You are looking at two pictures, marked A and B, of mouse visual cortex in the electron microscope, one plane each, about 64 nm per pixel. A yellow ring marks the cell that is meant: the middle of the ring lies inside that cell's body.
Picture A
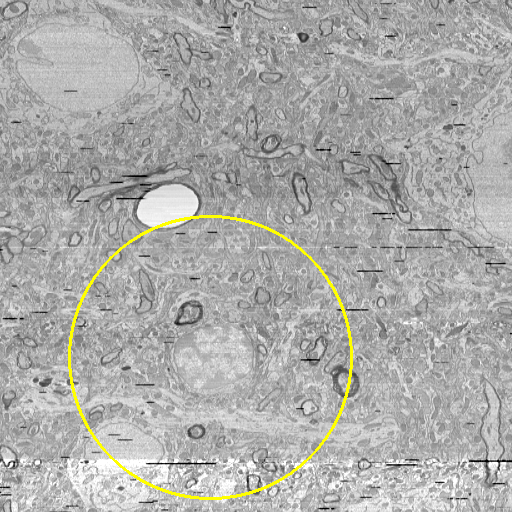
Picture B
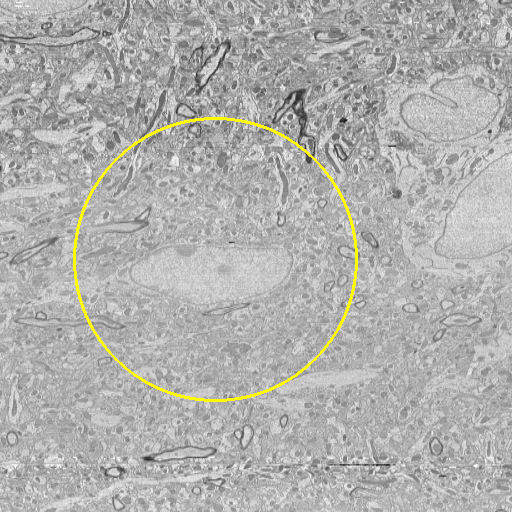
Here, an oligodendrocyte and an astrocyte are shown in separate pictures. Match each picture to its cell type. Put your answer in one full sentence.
Picture B shows an astrocyte, while picture A shows an oligodendrocyte.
